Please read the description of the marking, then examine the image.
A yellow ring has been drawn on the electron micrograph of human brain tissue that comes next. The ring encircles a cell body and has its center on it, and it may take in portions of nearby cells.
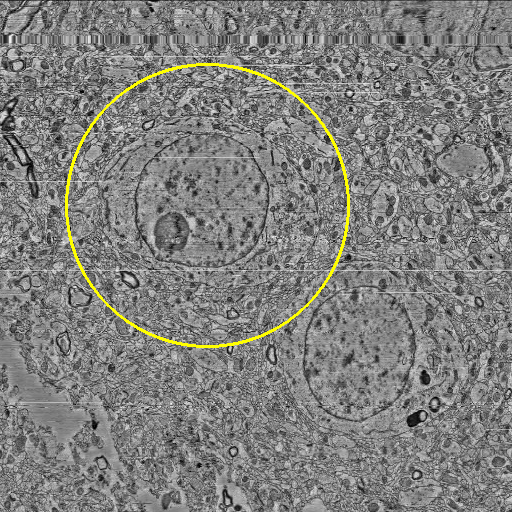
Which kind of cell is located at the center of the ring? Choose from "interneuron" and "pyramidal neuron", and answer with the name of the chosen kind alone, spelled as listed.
pyramidal neuron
